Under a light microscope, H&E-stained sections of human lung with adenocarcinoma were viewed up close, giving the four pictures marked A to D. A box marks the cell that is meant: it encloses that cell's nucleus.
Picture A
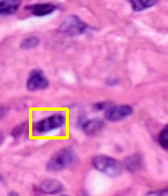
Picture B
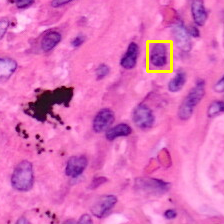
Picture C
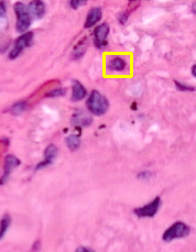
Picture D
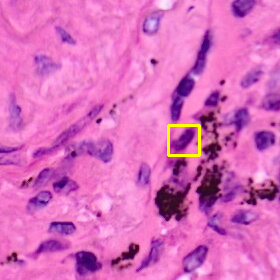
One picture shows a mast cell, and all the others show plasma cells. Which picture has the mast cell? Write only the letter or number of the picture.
C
